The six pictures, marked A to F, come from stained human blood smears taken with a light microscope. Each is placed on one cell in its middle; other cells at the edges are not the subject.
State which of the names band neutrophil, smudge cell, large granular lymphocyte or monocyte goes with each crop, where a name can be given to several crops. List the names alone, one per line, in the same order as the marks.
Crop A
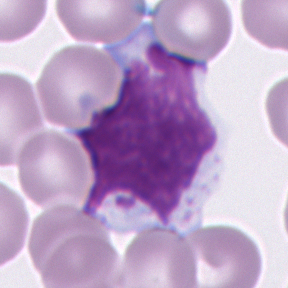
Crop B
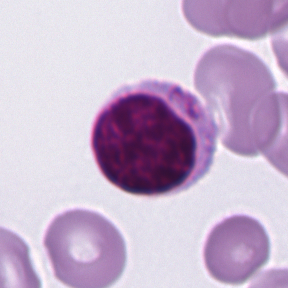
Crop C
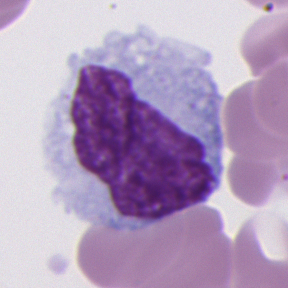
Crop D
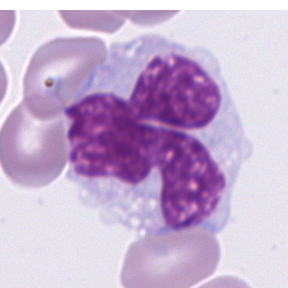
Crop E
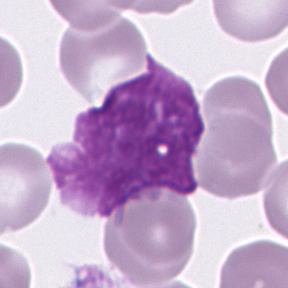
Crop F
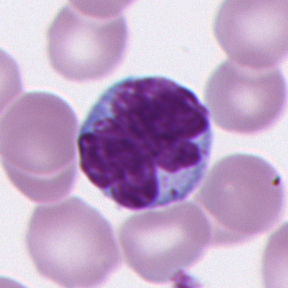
large granular lymphocyte
large granular lymphocyte
monocyte
monocyte
smudge cell
large granular lymphocyte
